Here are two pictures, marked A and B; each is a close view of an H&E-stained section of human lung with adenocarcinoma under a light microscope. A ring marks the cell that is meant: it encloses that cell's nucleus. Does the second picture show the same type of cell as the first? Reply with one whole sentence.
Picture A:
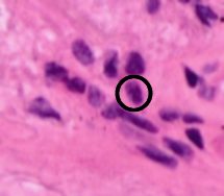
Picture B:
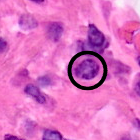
Yes; the cells in both pictures are plasma cells.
